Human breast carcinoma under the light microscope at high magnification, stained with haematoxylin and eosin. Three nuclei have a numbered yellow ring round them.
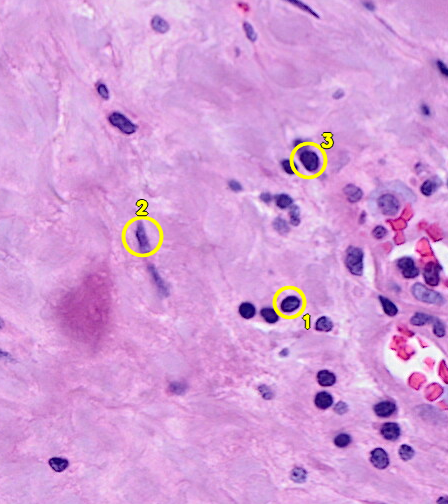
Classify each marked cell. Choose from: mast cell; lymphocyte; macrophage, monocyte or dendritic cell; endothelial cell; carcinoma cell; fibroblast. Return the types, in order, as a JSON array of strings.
["lymphocyte", "fibroblast", "lymphocyte"]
